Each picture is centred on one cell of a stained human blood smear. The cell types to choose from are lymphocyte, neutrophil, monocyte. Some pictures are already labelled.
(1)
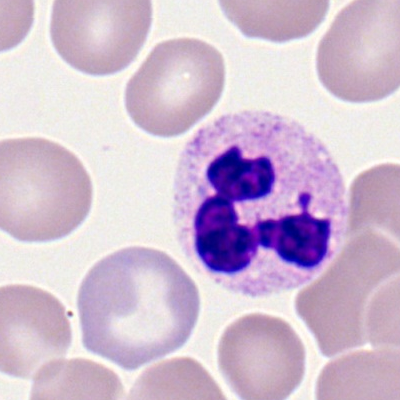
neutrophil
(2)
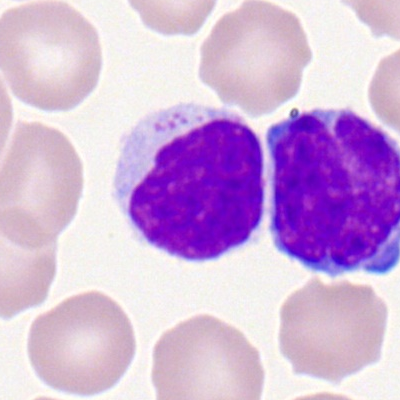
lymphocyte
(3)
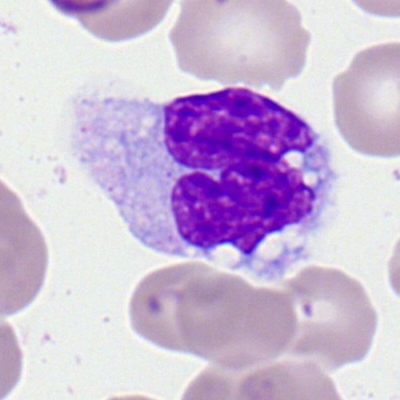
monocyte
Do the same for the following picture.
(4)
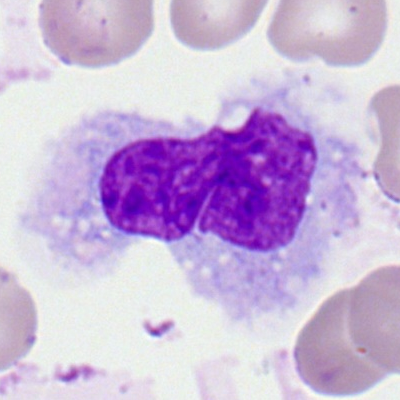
monocyte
